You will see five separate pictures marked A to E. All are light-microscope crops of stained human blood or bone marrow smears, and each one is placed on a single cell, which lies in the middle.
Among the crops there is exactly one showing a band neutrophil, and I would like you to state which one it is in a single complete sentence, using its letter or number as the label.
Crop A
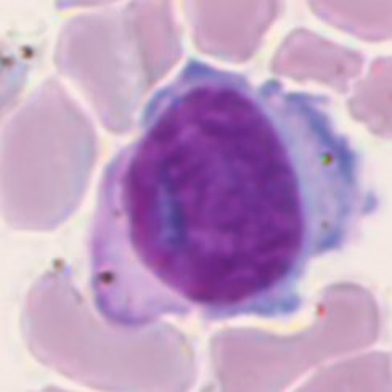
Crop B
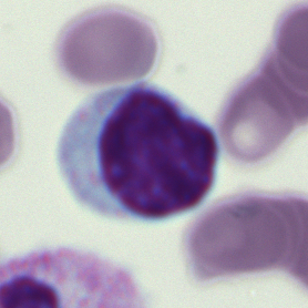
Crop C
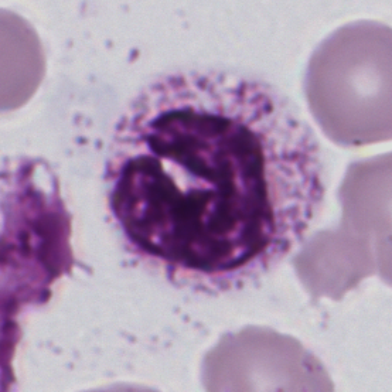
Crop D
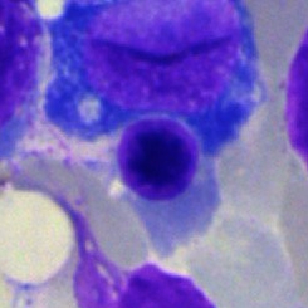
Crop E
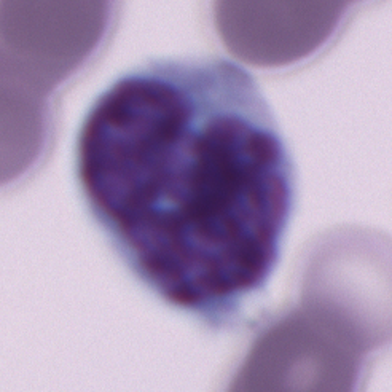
Of the labelled crops, the one that shows a band neutrophil is crop C.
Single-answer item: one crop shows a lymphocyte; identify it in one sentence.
The requested cell, a lymphocyte, is the one in crop B.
